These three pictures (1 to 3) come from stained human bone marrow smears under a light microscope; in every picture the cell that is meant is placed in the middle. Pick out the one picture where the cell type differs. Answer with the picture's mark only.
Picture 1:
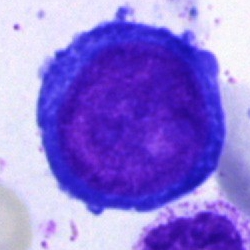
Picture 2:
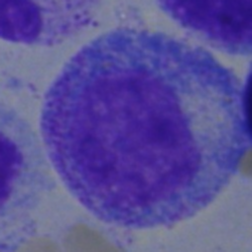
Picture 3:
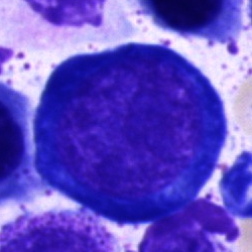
2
